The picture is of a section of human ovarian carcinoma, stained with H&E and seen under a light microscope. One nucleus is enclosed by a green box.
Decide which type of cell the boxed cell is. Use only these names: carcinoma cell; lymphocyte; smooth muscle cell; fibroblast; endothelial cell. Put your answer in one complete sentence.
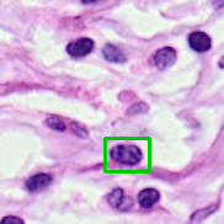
As classified here, the boxed cell is a lymphocyte.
